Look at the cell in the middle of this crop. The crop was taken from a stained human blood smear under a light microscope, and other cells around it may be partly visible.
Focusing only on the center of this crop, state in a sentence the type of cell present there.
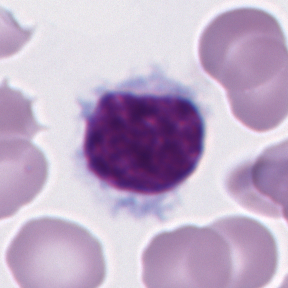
Occupying the centre of the crop is a hairy cell.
